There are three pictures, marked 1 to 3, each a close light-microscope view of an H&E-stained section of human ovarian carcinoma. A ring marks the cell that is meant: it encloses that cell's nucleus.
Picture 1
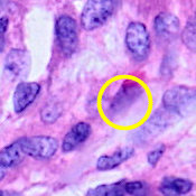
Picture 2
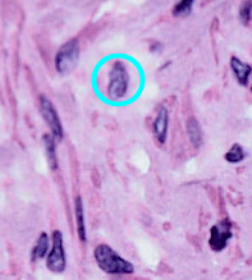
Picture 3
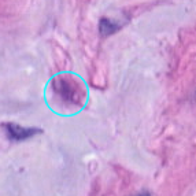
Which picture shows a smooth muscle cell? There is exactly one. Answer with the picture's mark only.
3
